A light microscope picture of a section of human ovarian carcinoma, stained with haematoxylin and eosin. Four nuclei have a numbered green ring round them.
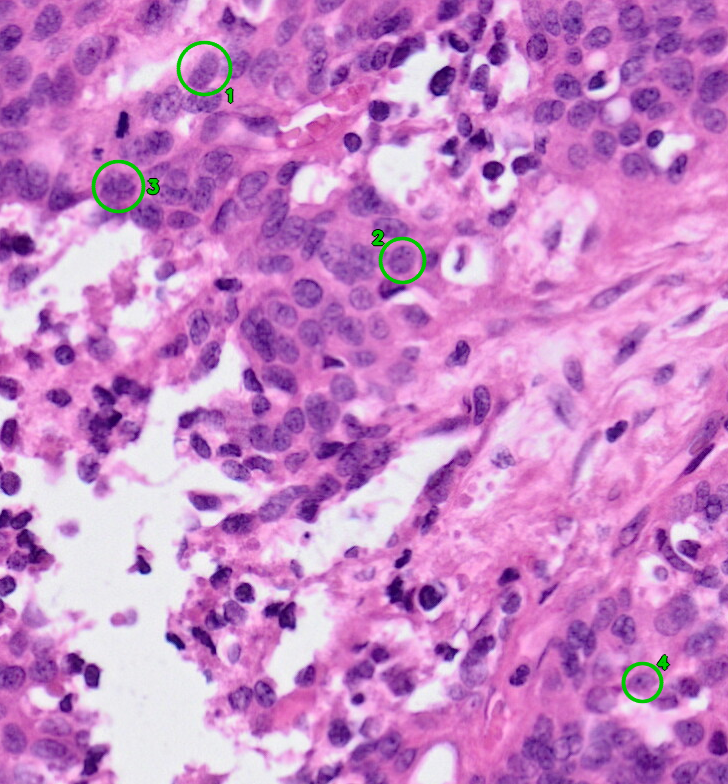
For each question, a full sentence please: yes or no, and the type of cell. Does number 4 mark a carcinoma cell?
No, not a carcinoma cell: the cell with number 4 is a macrophage or monocyte.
